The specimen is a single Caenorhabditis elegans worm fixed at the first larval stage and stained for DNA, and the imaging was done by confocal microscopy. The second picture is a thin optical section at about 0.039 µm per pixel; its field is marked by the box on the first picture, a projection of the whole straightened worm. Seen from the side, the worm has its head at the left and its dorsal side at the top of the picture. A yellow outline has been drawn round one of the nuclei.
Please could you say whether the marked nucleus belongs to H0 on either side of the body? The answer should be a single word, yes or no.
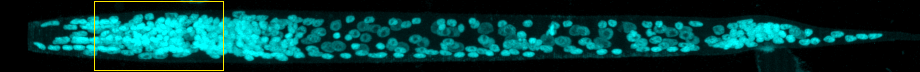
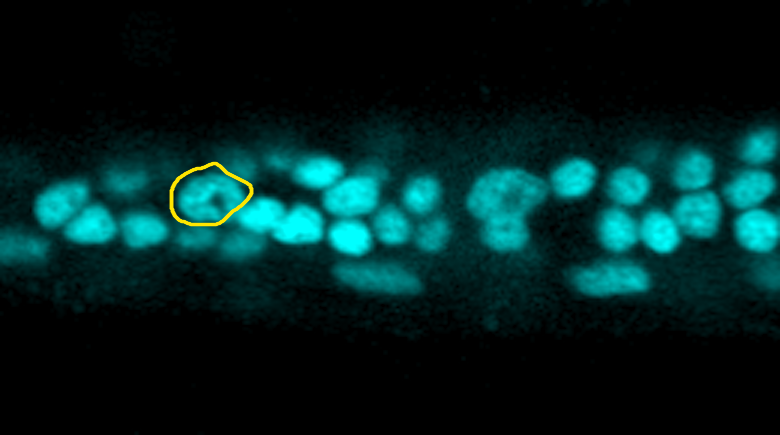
yes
